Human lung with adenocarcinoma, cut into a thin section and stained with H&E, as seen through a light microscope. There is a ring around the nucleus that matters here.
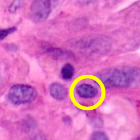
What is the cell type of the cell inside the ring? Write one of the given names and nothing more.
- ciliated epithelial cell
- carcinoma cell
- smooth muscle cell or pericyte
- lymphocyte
lymphocyte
